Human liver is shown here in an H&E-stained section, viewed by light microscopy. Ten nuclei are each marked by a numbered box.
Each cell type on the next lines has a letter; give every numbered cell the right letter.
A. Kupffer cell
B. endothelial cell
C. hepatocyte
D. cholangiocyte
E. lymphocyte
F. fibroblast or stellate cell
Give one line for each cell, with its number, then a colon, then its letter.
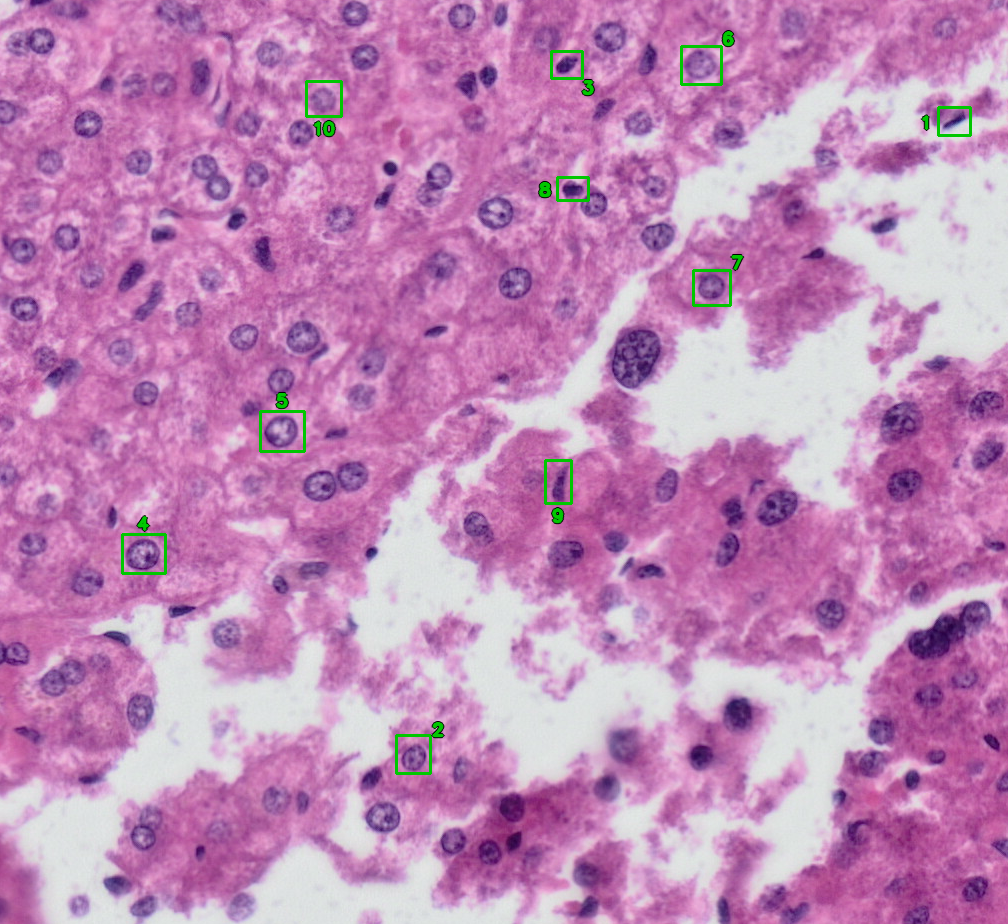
1: B
2: C
3: E
4: C
5: C
6: C
7: C
8: E
9: F
10: C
